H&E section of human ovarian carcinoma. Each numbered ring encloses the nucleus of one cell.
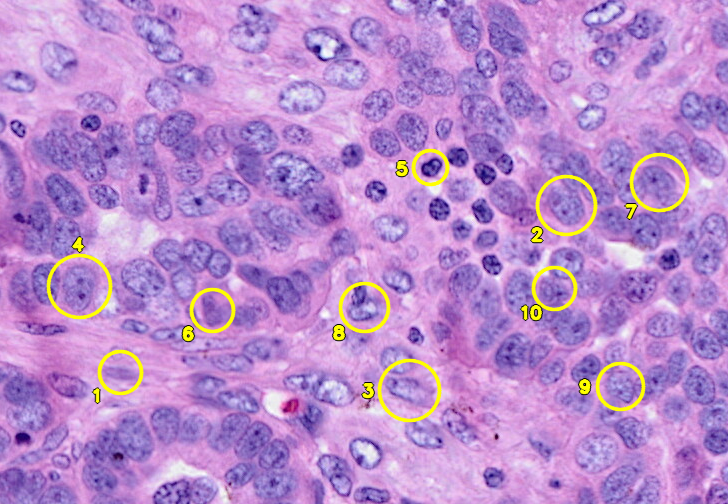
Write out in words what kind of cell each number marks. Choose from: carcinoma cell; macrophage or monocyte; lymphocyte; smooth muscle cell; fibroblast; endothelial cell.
Cell 1 is a fibroblast, cell 2 is a carcinoma cell, cell 3 is a fibroblast, cell 4 is a carcinoma cell, cell 5 is a lymphocyte, cell 6 is a carcinoma cell, cell 7 is a carcinoma cell, cell 8 is a fibroblast, cell 9 is a carcinoma cell and cell 10 is a carcinoma cell.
